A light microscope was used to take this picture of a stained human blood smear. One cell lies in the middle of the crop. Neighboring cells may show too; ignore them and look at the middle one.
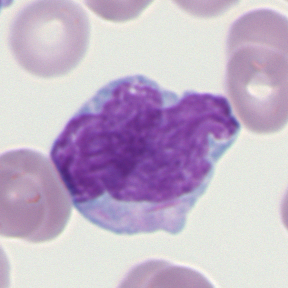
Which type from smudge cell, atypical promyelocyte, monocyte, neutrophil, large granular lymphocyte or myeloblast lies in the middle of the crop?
atypical promyelocyte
